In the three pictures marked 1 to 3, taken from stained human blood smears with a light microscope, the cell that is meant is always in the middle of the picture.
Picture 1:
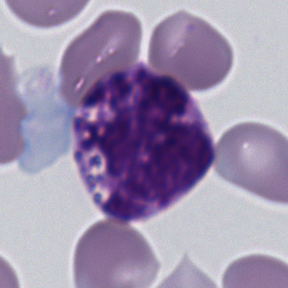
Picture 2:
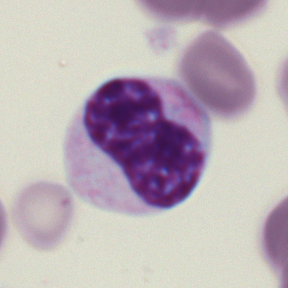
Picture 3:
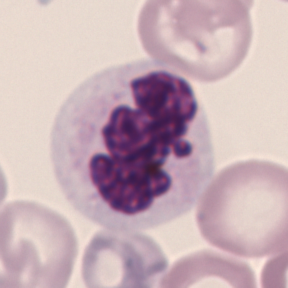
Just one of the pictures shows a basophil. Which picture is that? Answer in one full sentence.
It is picture 1 that shows the basophil.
